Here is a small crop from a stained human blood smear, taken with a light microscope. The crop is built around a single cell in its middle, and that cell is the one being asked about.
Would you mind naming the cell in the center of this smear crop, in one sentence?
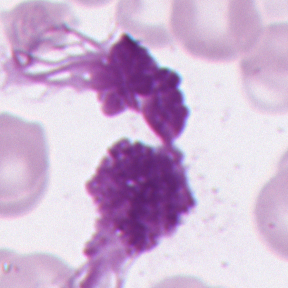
The central element of this crop is a cell, namely a smudge cell.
